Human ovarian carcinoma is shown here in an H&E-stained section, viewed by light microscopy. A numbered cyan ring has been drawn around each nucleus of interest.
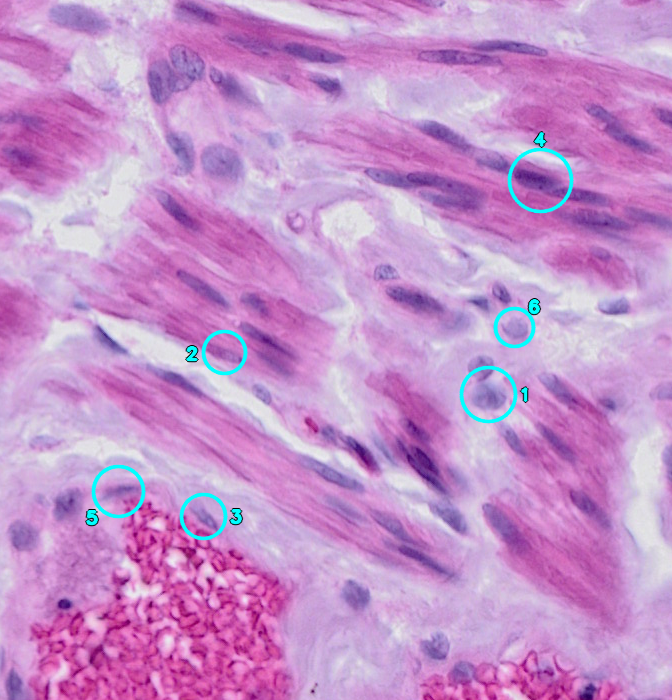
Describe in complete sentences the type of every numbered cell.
Cell 1 is a fibroblast, cell 2 is a smooth muscle cell, cell 3 is an endothelial cell, cell 4 is a smooth muscle cell, cell 5 is an endothelial cell and cell 6 is a fibroblast.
